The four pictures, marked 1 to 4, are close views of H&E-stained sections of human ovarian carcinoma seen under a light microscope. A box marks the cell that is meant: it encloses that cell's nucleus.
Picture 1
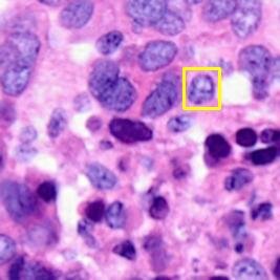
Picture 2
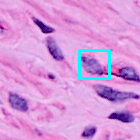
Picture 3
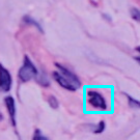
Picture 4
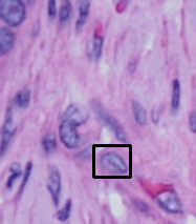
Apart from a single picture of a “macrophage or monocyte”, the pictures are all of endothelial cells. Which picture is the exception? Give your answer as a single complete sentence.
Picture 1 is the one that shows the “macrophage or monocyte”.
